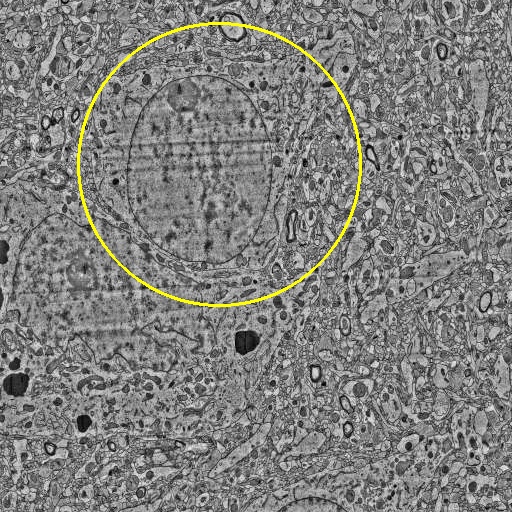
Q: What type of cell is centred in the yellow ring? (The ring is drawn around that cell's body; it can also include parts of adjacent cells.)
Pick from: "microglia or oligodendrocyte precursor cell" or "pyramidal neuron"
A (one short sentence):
The yellow ring is centred on a pyramidal neuron.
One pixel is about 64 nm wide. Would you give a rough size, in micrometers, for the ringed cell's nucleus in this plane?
About 12 by 9 micrometers for the nucleus, in this plane.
